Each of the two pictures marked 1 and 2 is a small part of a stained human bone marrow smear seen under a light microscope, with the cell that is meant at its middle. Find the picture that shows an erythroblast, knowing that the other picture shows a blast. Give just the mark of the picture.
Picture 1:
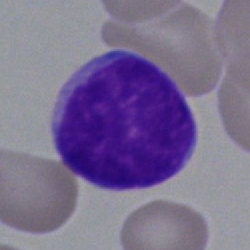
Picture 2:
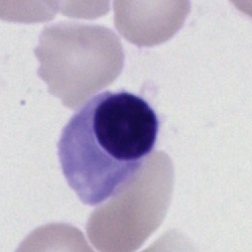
2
